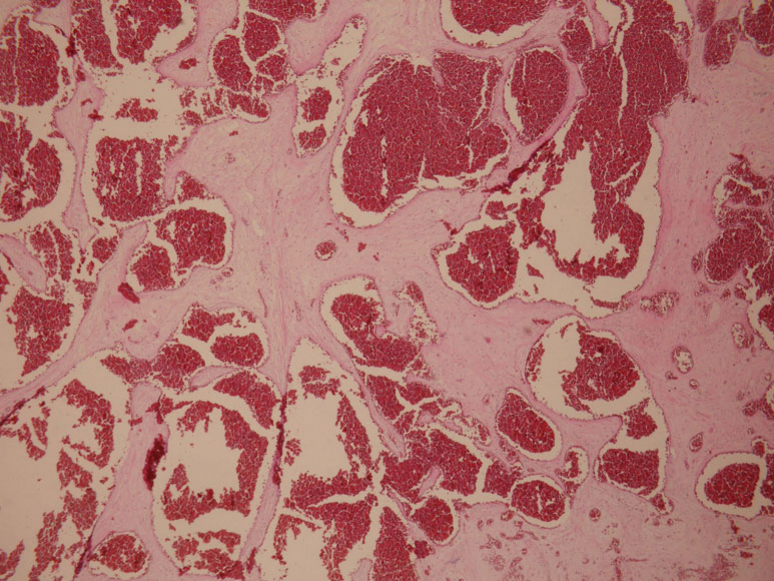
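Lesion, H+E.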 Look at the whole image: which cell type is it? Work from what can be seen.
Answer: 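Erythrocytes. The spaces are packed with deep red, finely granular material. The red material lies within the lumina, separated from the walls by pale clefts.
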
